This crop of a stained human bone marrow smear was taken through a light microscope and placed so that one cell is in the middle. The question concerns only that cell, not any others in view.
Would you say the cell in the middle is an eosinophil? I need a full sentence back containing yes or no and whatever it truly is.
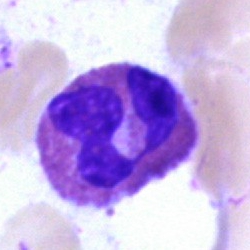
Yes, the cell in the center of the field is an eosinophil.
